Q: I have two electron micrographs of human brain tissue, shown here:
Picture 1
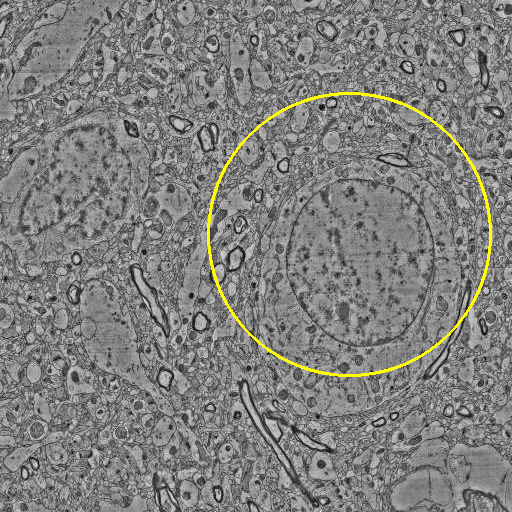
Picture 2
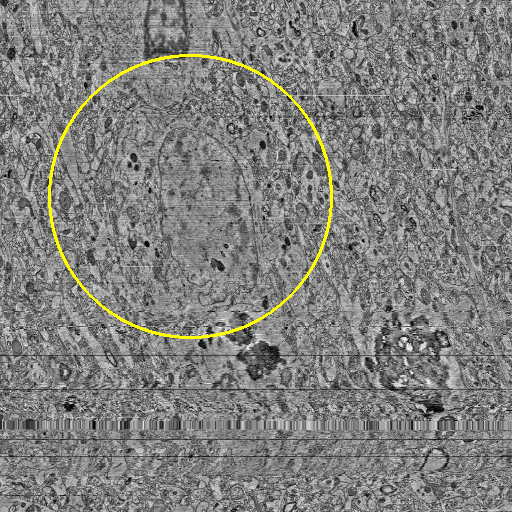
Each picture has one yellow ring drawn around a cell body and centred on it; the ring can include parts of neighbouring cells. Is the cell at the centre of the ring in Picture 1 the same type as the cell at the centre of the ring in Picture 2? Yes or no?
no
